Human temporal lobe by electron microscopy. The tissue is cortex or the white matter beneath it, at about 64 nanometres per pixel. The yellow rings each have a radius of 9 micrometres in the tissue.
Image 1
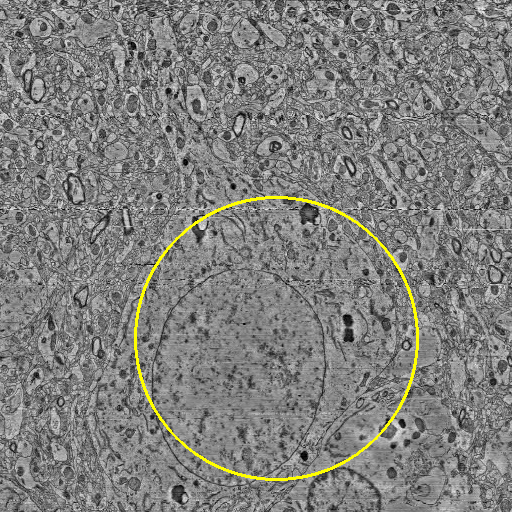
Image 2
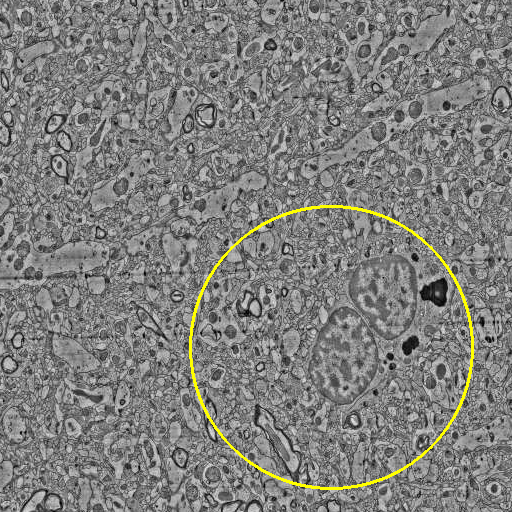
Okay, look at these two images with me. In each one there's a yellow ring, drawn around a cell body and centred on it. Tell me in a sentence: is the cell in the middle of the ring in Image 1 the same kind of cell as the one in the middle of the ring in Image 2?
No, they're two kinds of cell.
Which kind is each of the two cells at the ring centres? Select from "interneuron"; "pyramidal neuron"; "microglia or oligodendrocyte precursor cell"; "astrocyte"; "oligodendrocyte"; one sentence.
The cell at the centre of the ring is a pyramidal neuron in the first picture and an oligodendrocyte in the second.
